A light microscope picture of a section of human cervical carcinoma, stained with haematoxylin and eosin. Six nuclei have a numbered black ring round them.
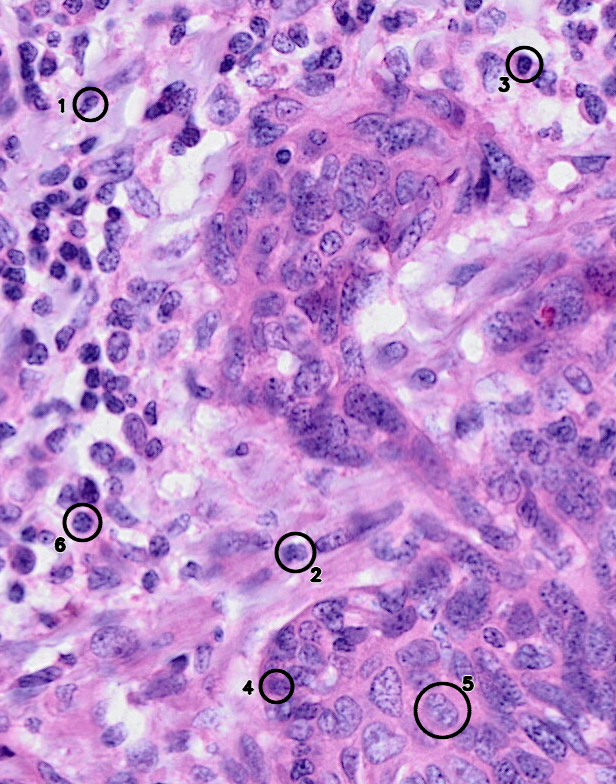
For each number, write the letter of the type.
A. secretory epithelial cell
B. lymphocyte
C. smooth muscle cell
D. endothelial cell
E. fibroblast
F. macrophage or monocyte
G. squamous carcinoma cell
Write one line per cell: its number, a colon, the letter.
1: B
2: B
3: B
4: G
5: G
6: B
